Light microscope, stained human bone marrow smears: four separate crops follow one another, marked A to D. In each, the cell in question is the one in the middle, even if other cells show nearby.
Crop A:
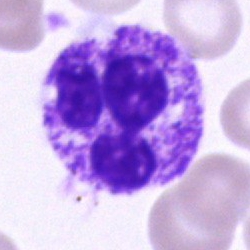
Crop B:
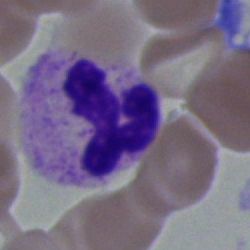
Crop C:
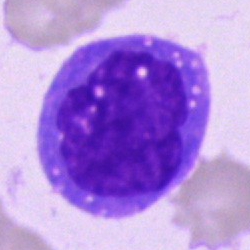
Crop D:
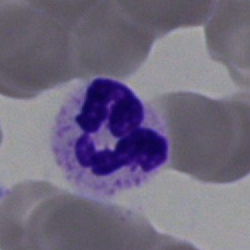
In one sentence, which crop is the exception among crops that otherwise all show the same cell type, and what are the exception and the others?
Crop C is the sole crop with a monocyte; the others all have segmented neutrophils.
